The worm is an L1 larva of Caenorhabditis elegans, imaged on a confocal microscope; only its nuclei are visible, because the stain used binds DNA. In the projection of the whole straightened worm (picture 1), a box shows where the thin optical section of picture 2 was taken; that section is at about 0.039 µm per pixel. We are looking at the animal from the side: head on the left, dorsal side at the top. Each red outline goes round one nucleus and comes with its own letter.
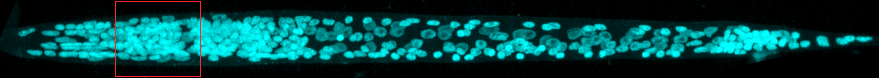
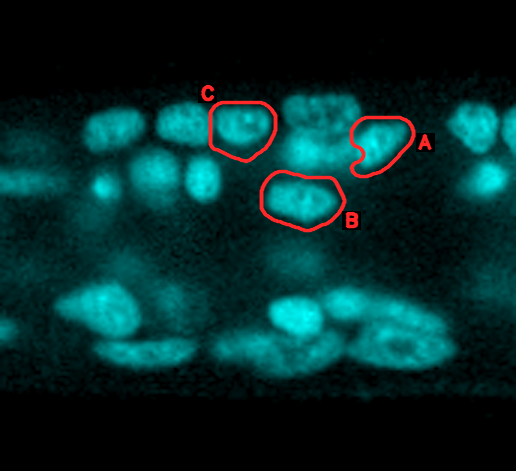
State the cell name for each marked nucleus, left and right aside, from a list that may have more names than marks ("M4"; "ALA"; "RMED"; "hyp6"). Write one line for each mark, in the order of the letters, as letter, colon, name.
A: RMED
B: M4
C: hyp6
